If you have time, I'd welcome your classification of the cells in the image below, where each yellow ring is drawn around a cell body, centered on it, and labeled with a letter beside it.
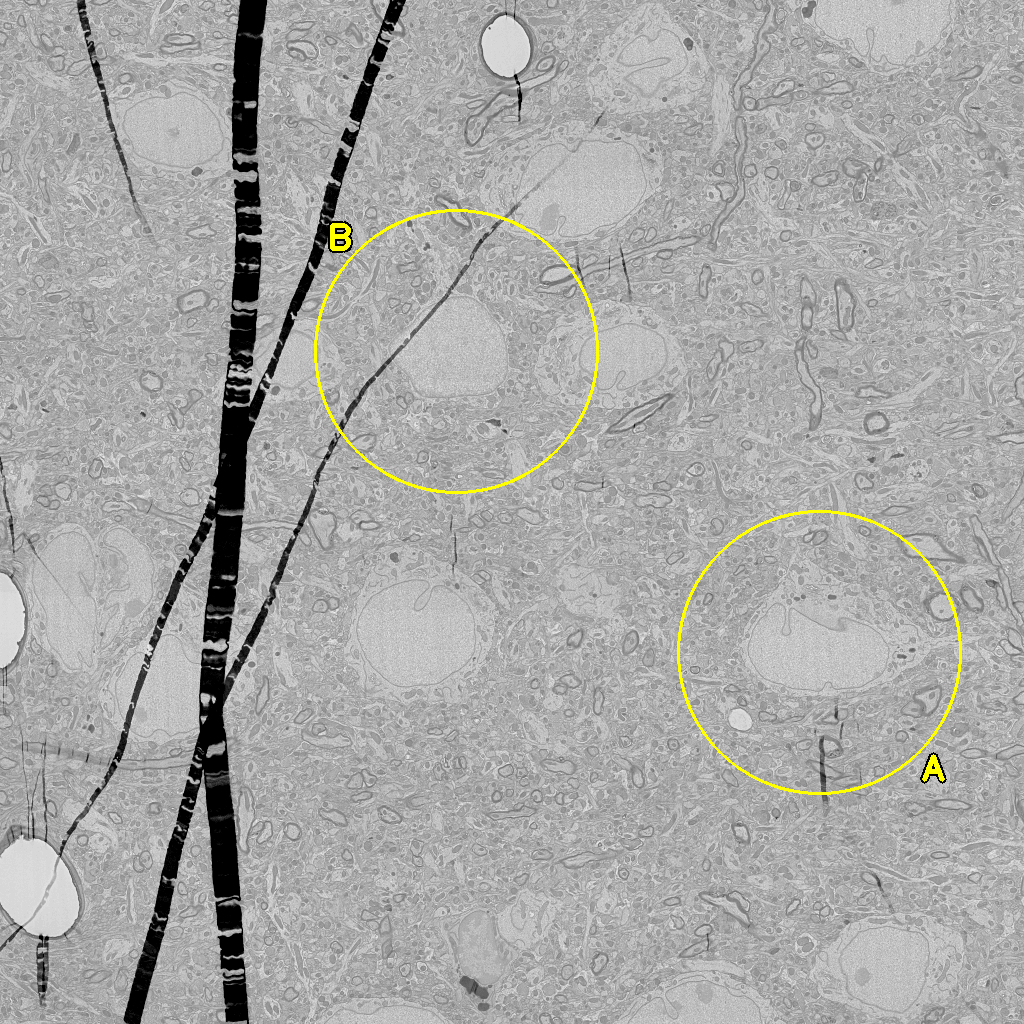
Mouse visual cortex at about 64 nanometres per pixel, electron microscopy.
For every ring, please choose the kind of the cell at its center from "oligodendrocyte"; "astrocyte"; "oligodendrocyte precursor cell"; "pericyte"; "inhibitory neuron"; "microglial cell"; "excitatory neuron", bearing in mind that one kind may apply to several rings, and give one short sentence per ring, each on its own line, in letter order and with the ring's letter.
At the center of ring A is an excitatory neuron.
At the center of ring B is an astrocyte.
